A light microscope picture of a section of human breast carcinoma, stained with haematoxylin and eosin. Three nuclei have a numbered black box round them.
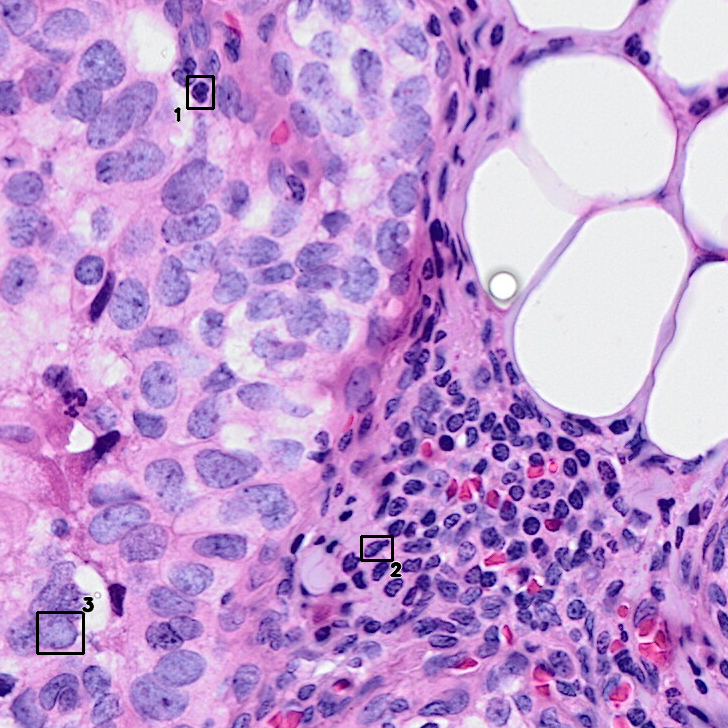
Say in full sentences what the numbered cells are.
Cells 1 and 2 are lymphocytes. Cell 3 is a carcinoma cell.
